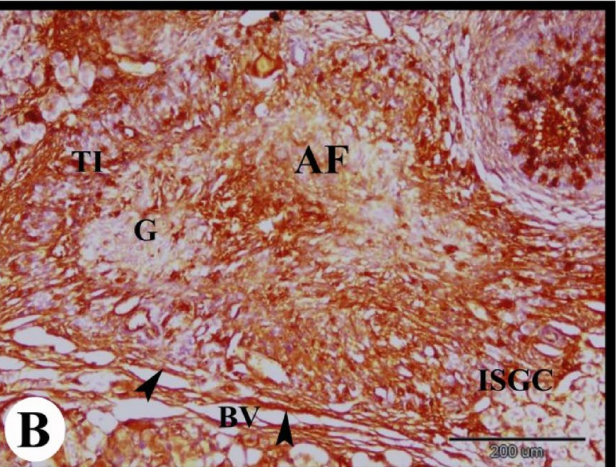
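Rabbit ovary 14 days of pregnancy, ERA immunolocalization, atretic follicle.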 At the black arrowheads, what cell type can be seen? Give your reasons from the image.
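Endothelial cells. The arrowheads point to thin flattened cells lining elongated vascular spaces. These lining cells are stained brown.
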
